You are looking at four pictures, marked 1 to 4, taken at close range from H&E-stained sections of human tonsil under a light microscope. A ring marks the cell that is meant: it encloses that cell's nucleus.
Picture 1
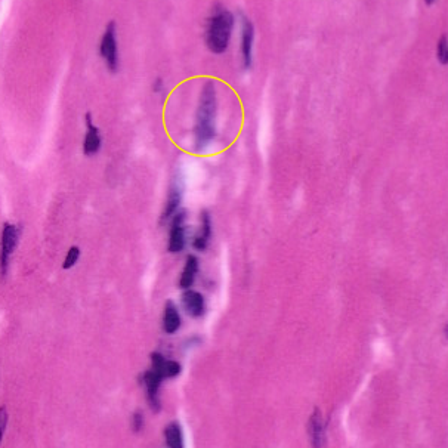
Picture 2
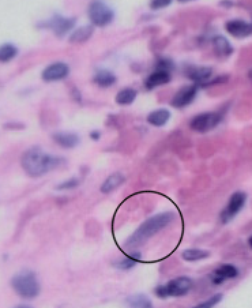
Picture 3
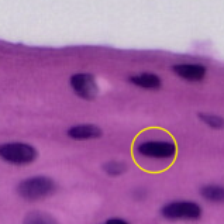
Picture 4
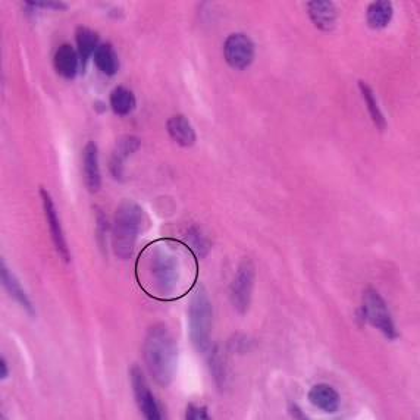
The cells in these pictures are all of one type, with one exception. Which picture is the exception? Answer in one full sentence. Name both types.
Unlike the rest, which show endothelial cells, picture 3 shows a squamous epithelial cell.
